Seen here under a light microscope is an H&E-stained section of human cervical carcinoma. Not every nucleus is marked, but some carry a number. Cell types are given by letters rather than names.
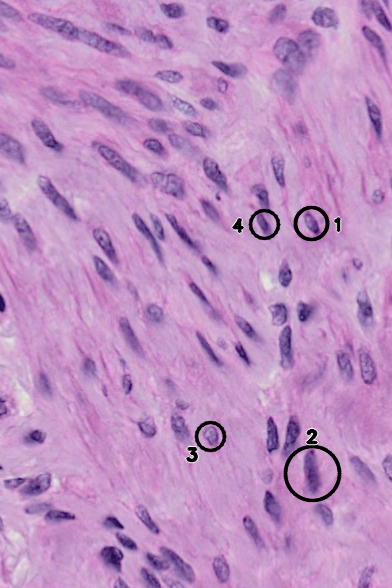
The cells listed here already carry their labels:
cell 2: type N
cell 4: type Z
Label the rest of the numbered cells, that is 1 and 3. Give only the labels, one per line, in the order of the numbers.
type Z
type Z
